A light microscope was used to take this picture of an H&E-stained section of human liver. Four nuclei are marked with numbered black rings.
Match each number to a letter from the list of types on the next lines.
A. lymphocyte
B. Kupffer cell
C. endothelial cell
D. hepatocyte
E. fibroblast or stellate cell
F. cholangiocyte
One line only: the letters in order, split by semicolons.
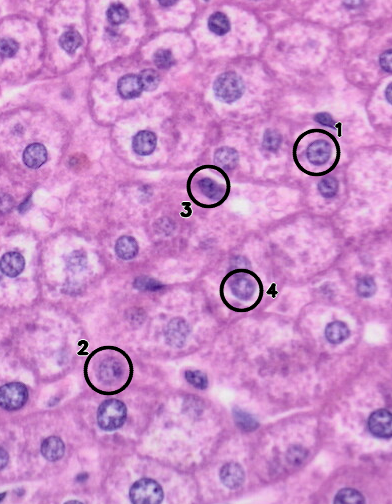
D; D; B; D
